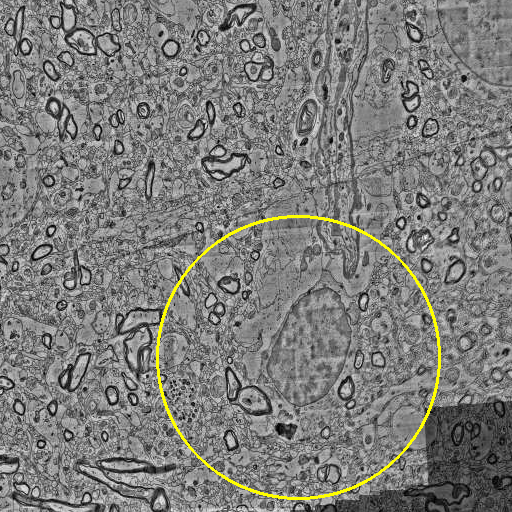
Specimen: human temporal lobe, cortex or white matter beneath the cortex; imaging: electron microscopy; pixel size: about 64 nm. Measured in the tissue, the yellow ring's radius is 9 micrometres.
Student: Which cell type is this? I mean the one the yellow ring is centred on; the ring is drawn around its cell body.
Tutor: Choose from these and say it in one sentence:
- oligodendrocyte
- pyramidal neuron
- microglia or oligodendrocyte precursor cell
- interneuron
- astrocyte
The cell the ring is centred on is an oligodendrocyte.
